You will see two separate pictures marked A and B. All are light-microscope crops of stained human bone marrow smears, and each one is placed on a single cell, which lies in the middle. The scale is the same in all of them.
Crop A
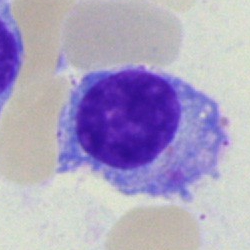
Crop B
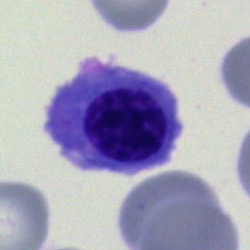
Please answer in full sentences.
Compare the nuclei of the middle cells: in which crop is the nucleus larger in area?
The nucleus in crop A is larger, with about 1.5 times the area of the one in crop B.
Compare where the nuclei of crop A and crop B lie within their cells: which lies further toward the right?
It is the nucleus in crop B that lies further toward the right of its cell.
